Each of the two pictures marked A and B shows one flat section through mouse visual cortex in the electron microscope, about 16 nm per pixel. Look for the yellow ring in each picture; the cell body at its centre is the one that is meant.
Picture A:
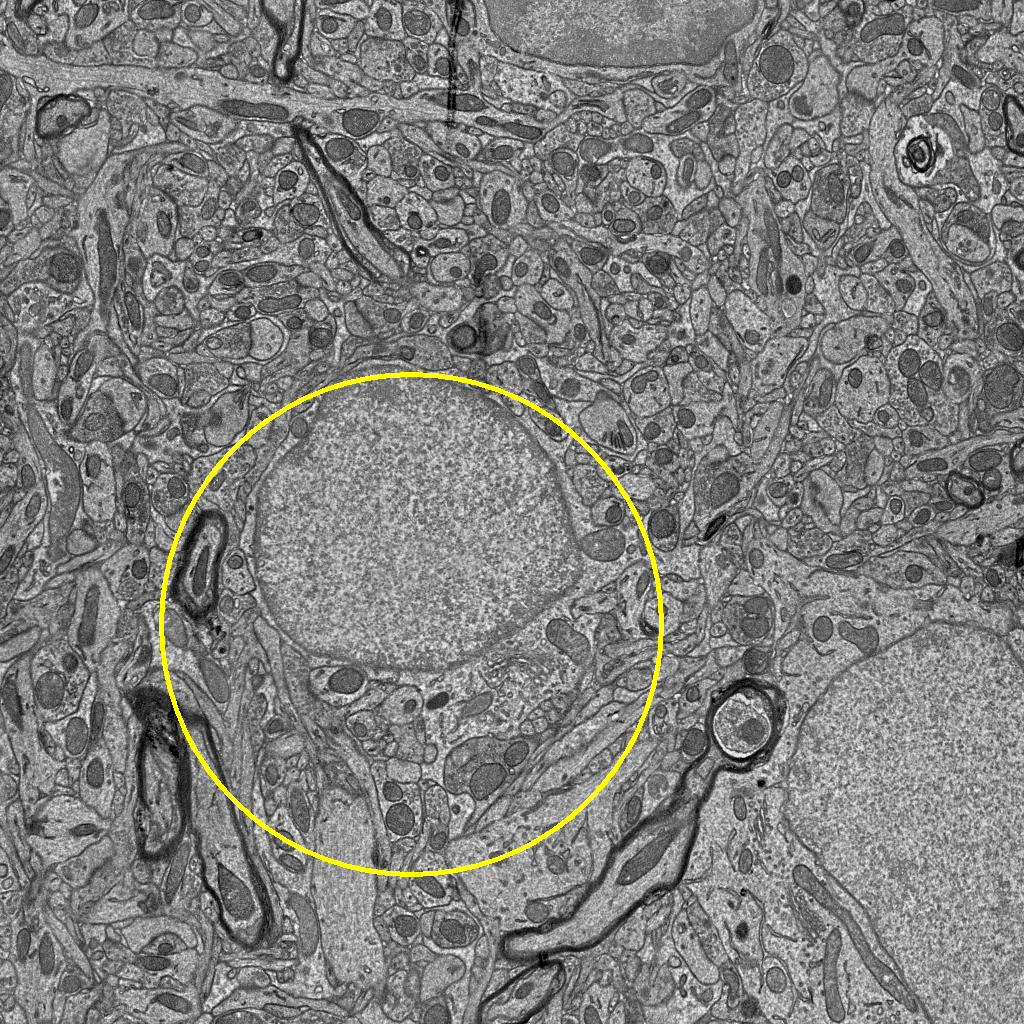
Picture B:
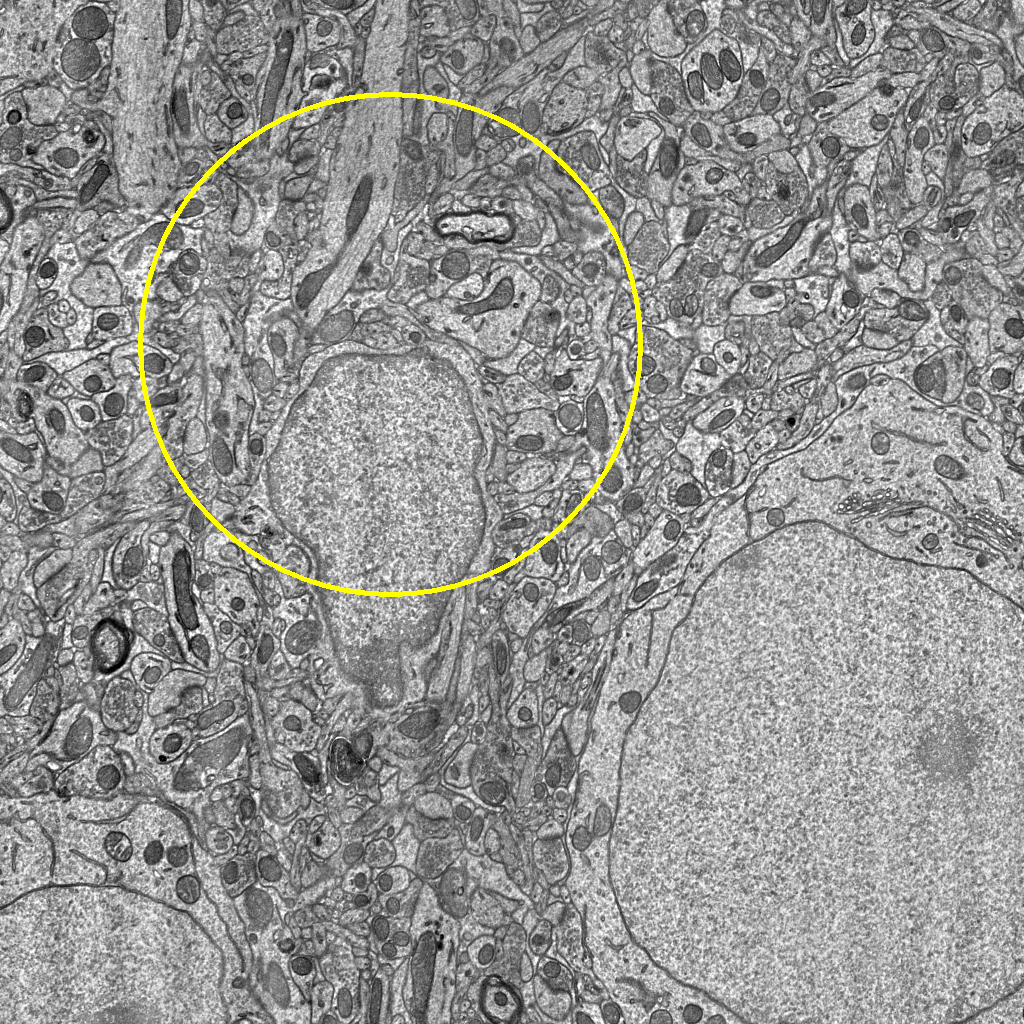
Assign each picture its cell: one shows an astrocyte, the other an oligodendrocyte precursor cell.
It is picture A that shows an astrocyte, and picture B that shows an oligodendrocyte precursor cell.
